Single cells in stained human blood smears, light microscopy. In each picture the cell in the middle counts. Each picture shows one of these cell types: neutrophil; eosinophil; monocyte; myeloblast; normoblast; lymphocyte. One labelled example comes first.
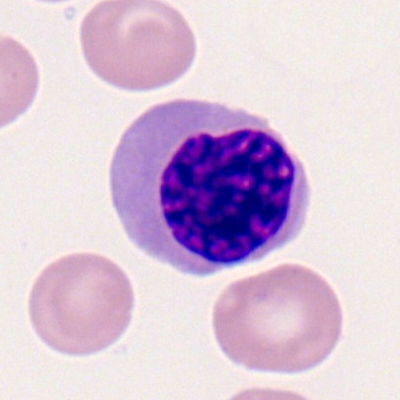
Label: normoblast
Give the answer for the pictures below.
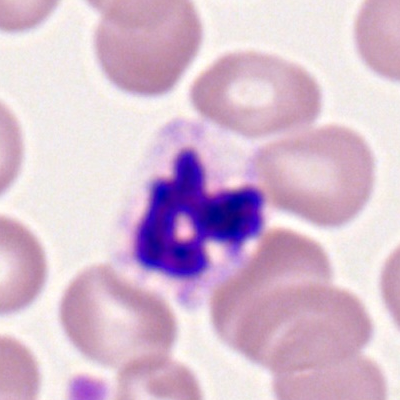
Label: neutrophil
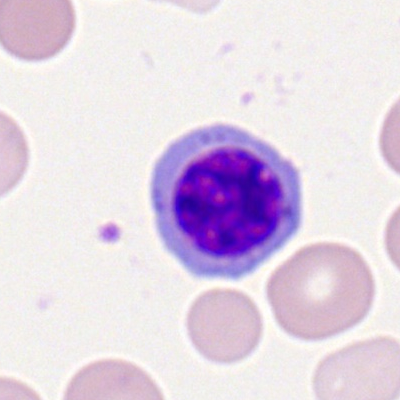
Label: normoblast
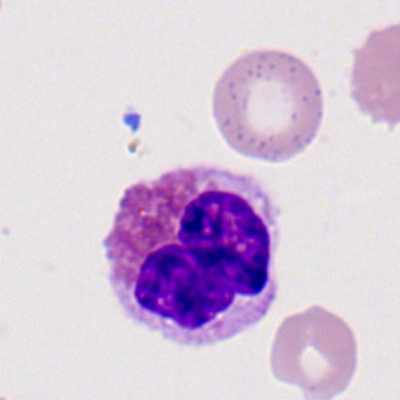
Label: eosinophil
